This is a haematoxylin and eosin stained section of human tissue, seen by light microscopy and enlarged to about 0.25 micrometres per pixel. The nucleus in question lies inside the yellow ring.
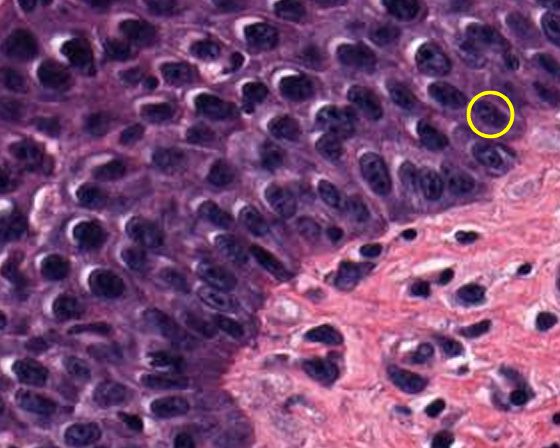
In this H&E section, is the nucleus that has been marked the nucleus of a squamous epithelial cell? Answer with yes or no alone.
yes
